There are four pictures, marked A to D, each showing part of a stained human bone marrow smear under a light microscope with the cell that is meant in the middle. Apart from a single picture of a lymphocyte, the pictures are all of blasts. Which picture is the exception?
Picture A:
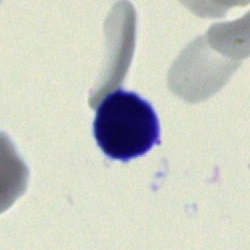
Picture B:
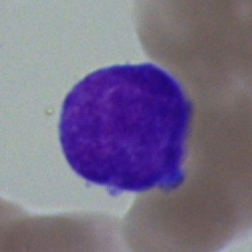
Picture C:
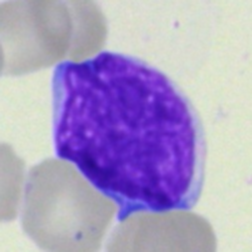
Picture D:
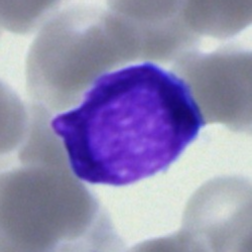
A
